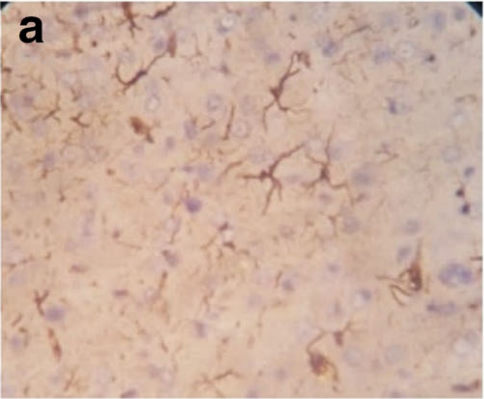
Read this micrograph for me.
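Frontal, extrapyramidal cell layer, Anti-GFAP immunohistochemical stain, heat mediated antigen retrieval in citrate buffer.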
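This section of cerebral cortex shows scattered astrocytes stained brown within a pale neuropil. The astrocytes are star-shaped, with a small body and several long, slender processes that branch and taper. They lie singly and well apart from one another. Faint blue rounded cell bodies are visible in the background between them. The brown staining is light and confined to relatively few cells.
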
